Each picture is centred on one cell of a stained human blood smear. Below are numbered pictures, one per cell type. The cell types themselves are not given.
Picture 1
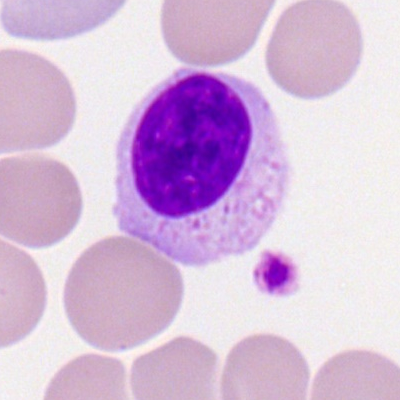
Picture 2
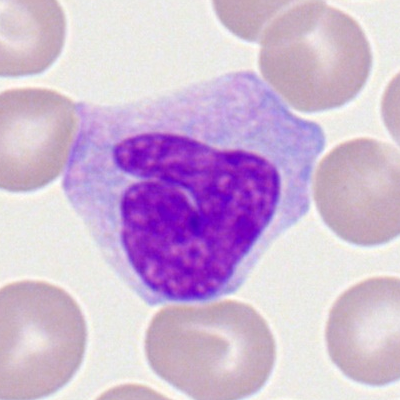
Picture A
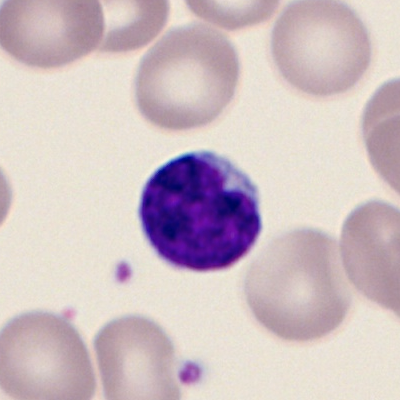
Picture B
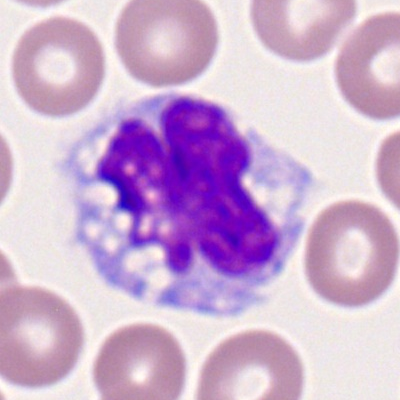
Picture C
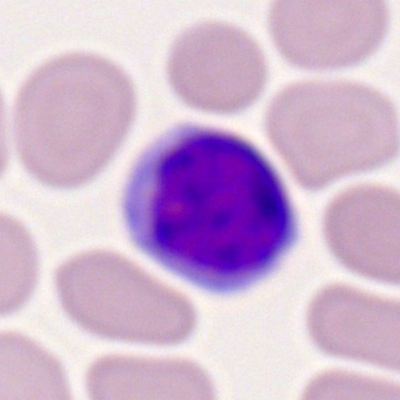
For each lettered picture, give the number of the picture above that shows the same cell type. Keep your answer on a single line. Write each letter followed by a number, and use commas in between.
A 1, B 2, C 1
